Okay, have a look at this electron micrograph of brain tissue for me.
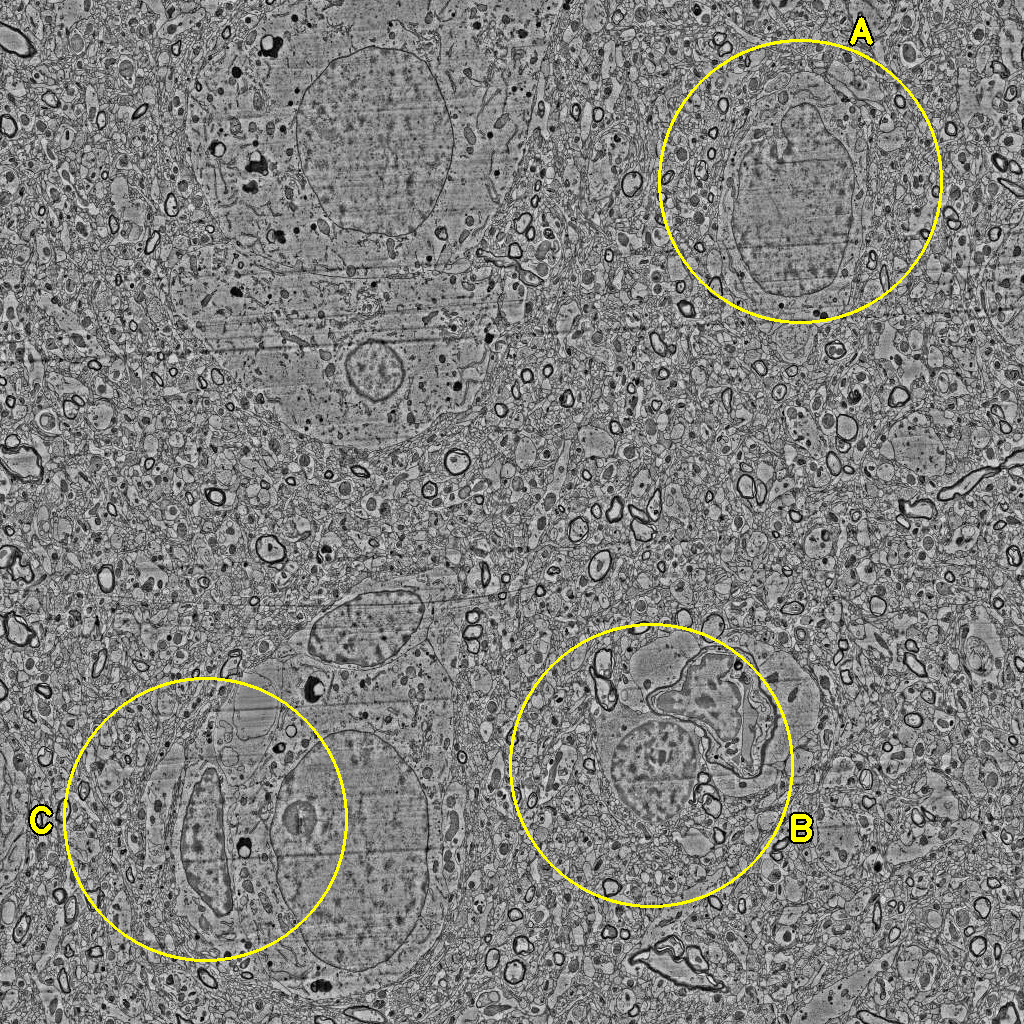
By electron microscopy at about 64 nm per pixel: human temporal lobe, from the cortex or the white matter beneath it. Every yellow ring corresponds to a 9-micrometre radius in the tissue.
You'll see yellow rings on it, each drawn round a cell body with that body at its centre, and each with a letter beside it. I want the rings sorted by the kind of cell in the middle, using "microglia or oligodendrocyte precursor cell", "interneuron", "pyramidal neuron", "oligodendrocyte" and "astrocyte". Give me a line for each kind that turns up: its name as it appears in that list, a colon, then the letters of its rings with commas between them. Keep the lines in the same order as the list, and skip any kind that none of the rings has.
microglia or oligodendrocyte precursor cell: C
interneuron: A
oligodendrocyte: B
